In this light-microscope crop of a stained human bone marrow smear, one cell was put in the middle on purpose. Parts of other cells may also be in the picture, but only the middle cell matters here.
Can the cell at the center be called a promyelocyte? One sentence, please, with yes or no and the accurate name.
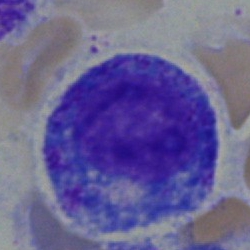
Yes, the cell in the middle of this smear crop is a promyelocyte.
